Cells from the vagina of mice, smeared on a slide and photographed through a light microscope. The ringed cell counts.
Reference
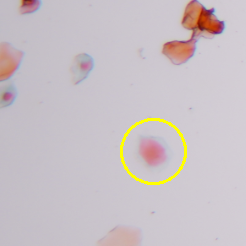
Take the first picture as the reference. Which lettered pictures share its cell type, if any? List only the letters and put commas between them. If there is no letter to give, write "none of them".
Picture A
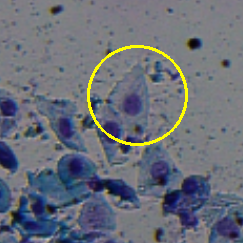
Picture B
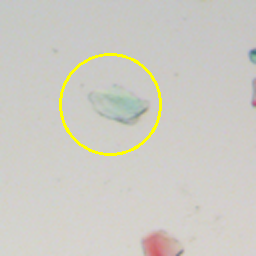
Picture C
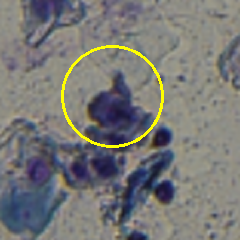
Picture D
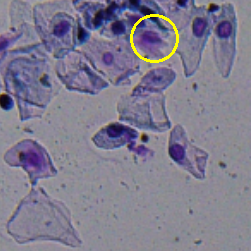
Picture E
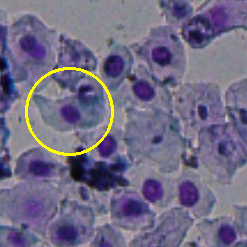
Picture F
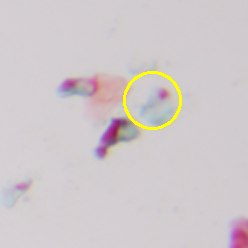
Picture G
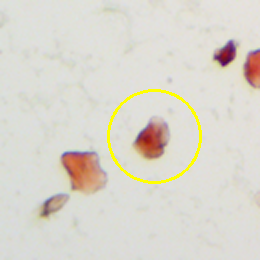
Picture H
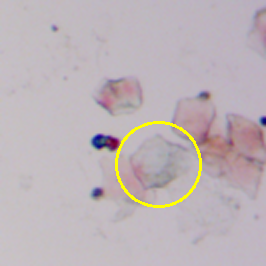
A, C, D, E, F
